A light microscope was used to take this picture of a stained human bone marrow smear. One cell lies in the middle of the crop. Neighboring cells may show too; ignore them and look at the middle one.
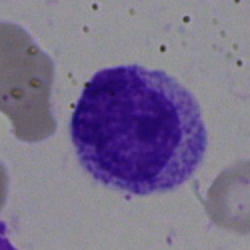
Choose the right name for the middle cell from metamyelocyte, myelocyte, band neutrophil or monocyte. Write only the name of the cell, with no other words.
myelocyte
